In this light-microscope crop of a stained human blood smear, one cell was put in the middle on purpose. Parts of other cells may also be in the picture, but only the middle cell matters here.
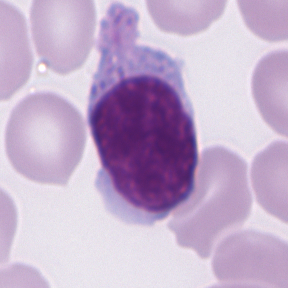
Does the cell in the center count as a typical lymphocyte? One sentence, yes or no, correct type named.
No, the central cell here is a large granular lymphocyte; calling it a typical lymphocyte is not right.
